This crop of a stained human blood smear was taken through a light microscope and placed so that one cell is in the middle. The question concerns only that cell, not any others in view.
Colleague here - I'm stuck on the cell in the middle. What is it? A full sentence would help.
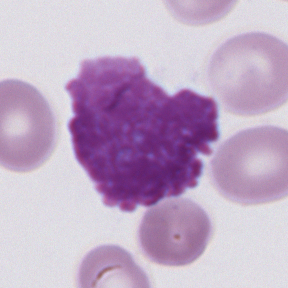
The central cell, amid any neighbouring cells, is a smudge cell.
